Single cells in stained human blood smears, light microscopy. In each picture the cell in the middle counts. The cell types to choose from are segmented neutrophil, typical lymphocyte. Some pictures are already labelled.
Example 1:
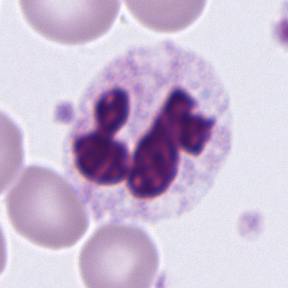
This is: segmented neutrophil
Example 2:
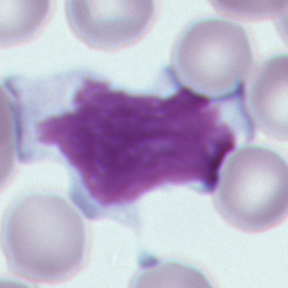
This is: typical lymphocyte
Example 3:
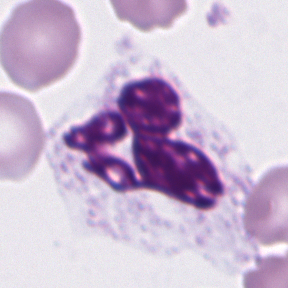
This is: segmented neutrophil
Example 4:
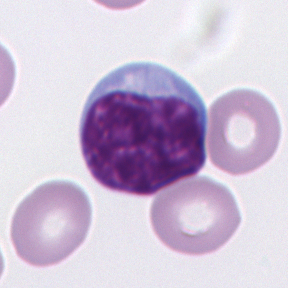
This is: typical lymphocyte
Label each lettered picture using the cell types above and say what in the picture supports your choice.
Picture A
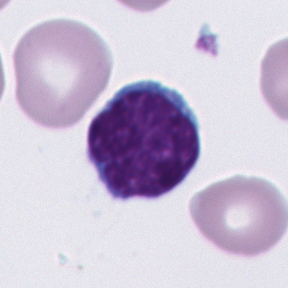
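typical lymphocyte. Reason: The cytoplasm forms only a thin rim around the nucleus.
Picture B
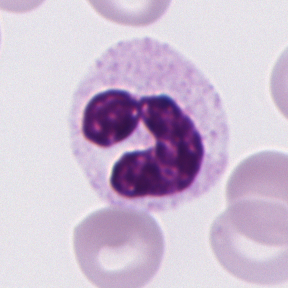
segmented neutrophil. Reason: The cytoplasm is abundant and pale pinkish-lilac.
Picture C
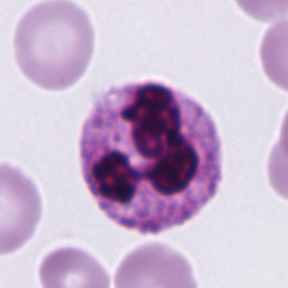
segmented neutrophil. Reason: Many violet granules fill the cytoplasm all around the nucleus.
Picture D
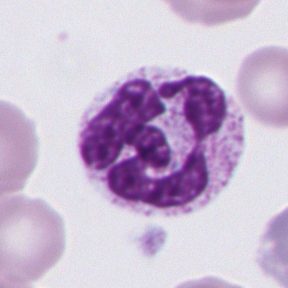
segmented neutrophil. Reason: The nucleus is divided into several separate lobes.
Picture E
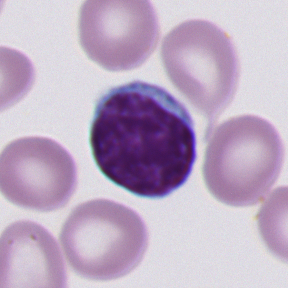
typical lymphocyte. Reason: The cytoplasm is a scant pale blue rim.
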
